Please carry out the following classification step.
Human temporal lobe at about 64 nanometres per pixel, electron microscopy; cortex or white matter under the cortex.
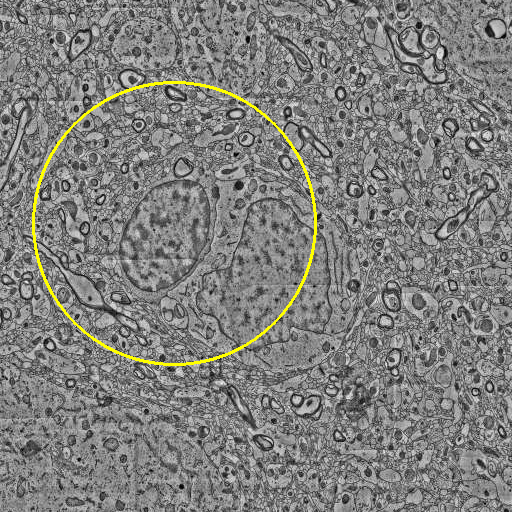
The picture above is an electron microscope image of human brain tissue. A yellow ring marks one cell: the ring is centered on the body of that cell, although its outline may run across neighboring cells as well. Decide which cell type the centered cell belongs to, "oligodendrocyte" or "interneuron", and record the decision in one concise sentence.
The cell centered in the yellow ring is an oligodendrocyte.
